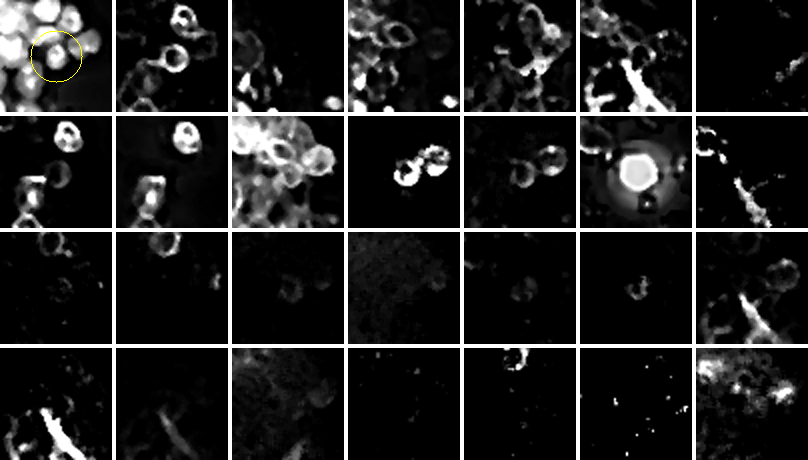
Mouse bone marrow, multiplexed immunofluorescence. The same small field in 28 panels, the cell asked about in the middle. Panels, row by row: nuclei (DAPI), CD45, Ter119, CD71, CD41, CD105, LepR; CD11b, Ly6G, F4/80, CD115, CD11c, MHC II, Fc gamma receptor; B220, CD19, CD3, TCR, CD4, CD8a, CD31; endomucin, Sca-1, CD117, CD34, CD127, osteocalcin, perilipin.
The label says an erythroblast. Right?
Wrong: this is a monocyte.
